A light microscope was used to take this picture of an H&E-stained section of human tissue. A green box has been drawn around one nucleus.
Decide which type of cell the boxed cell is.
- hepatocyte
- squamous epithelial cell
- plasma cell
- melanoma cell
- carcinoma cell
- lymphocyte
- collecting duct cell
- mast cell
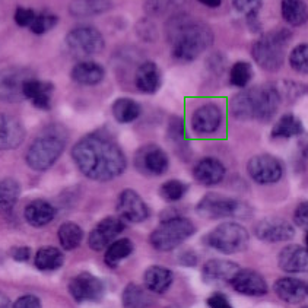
plasma cell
